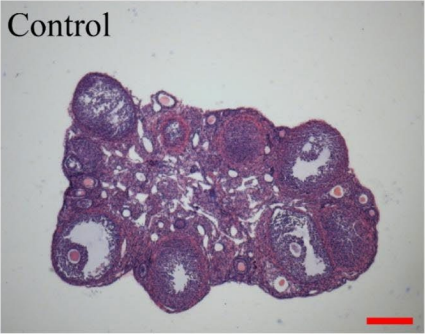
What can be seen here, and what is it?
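A whole cross-section of an ovary in pink and purple, its periphery crowded with rounded follicles of very different sizes. Several large follicles have a wide clear cavity lined by thick layers of densely purple granulosa cells, and some show a pink oocyte sitting in a mound of cells at one side. Smaller follicles with a single pink oocyte and a thin rim of cells lie between them, and a loose, vascular stroma with open spaces fills the center.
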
